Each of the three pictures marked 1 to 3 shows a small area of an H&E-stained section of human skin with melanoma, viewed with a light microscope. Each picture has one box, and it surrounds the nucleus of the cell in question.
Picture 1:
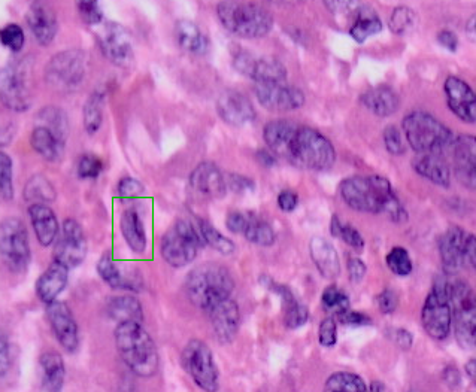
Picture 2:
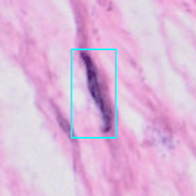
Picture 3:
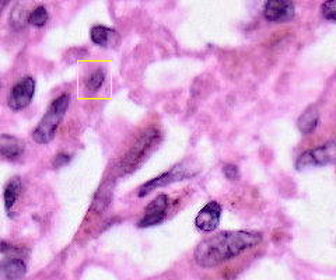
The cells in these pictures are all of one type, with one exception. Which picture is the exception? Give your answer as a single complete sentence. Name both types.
The different one is picture 2; it shows a “fibroblast or myofibroblast”, whereas all the others show “macrophages or monocytes”.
